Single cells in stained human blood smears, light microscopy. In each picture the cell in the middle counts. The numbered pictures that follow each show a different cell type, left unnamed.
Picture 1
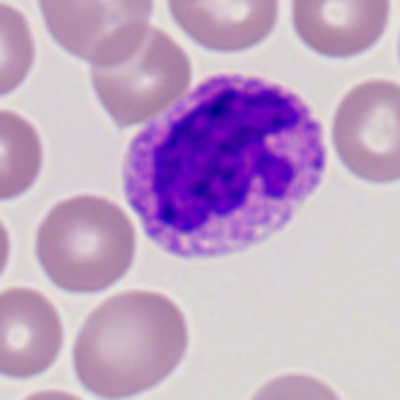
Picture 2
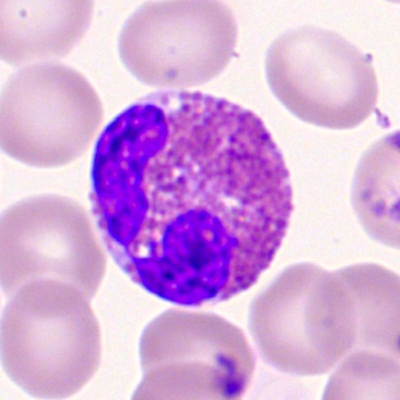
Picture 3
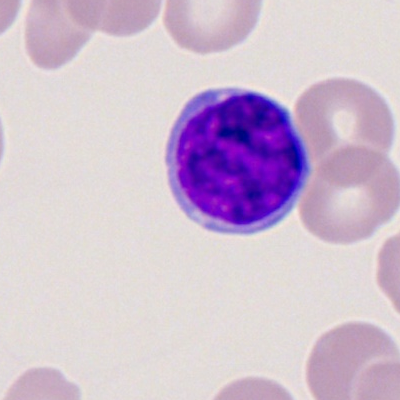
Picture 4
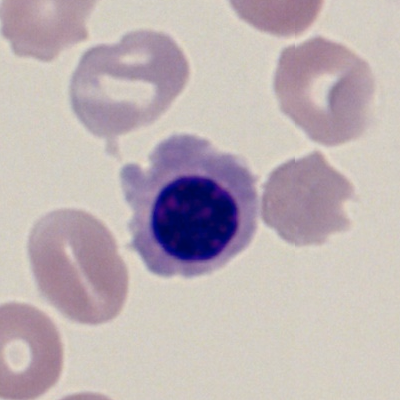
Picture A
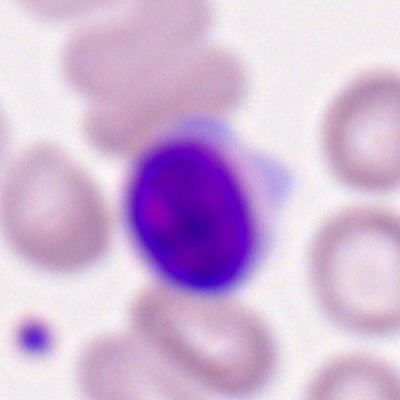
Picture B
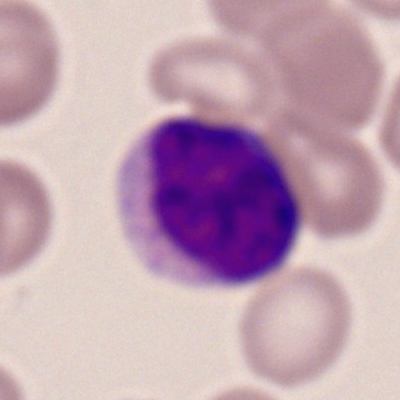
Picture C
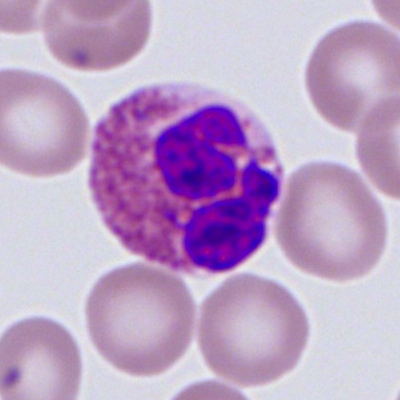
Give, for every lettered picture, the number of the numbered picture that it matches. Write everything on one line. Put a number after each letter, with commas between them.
A 3, B 3, C 2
